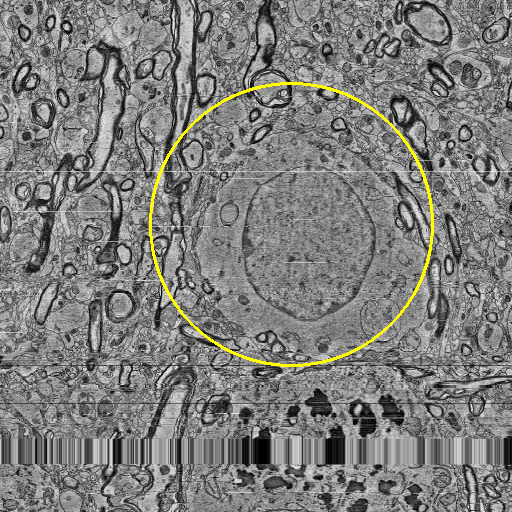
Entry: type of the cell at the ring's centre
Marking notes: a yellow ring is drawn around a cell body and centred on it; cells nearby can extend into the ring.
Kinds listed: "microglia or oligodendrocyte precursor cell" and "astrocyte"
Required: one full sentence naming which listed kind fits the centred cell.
My entry names an astrocyte as the cell whose body the yellow ring centres on.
